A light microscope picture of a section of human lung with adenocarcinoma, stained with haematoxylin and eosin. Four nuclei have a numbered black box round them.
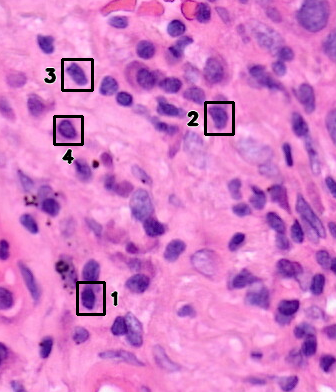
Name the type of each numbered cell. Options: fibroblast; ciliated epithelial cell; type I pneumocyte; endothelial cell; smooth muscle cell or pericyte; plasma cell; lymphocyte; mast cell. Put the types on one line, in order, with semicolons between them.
lymphocyte; lymphocyte; lymphocyte; plasma cell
